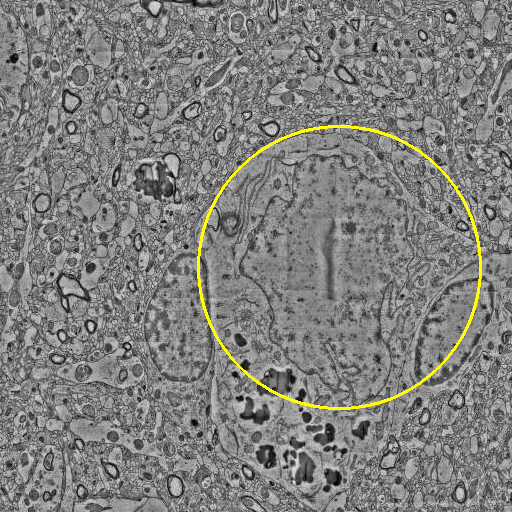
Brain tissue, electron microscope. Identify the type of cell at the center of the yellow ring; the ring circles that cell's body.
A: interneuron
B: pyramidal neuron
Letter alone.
A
